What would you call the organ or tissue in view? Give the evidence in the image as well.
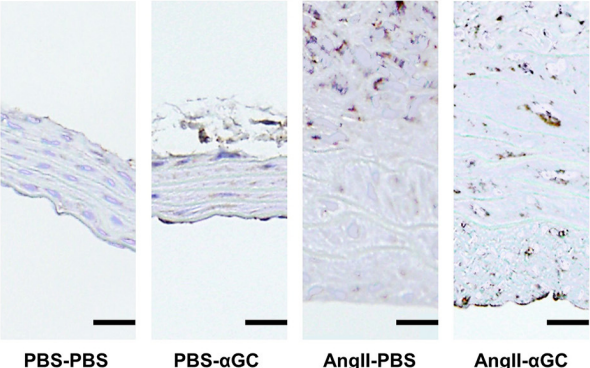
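Aorta. The two left strips show a thin vessel wall of stacked wavy lamellae. Flattened, elongated blue nuclei lie between the layers.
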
